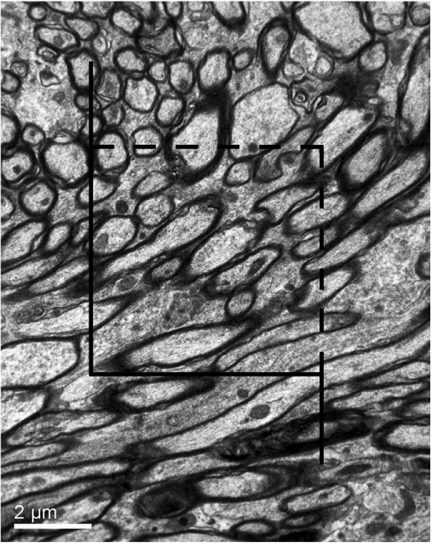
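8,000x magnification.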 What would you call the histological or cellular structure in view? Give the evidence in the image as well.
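Myelinated fibers. Round profiles at the top, each a pale axon core inside a dark ring. Oblique and longitudinal fibers with dark borders below.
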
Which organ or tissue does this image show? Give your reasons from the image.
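White matter. Densely packed profiles of nerve fibers fill the whole field. Nearly every fiber is wrapped by a dark, electron-dense ring. Fibers run in bundles, cut both across and lengthwise.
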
